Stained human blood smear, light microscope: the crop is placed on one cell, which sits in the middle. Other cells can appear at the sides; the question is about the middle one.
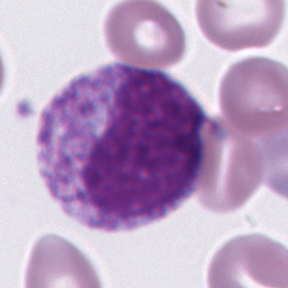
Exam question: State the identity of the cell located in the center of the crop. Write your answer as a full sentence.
Here the centrally located cell is a myelocyte.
